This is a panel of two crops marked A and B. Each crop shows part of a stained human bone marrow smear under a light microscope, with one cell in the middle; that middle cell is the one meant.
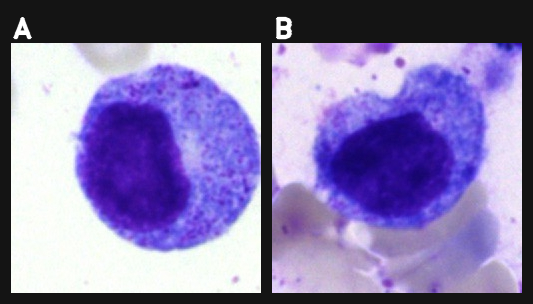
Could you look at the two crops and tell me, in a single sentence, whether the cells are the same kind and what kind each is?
Yes, what both crops show is promyelocytes.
